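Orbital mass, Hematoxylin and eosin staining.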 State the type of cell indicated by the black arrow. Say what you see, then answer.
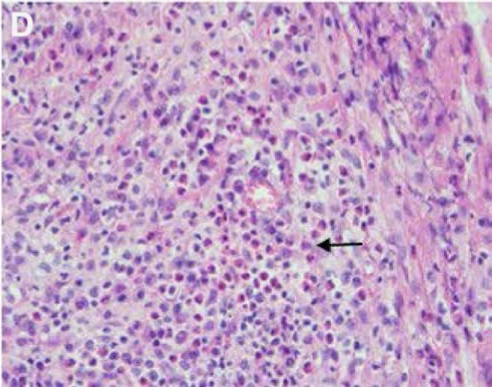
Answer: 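Eosinophils. The arrow points into a cluster of cells with bright pink-red granular cytoplasm.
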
